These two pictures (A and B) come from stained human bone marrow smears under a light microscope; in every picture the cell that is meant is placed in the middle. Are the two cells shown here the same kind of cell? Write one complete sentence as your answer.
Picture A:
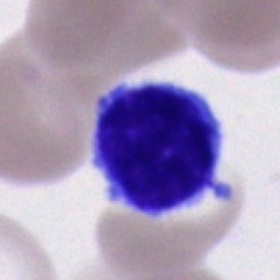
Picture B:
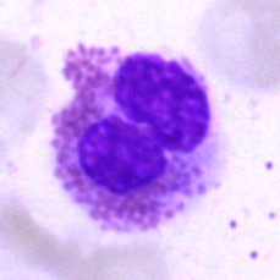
No, picture A shows a lymphocyte and picture B shows an eosinophil.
